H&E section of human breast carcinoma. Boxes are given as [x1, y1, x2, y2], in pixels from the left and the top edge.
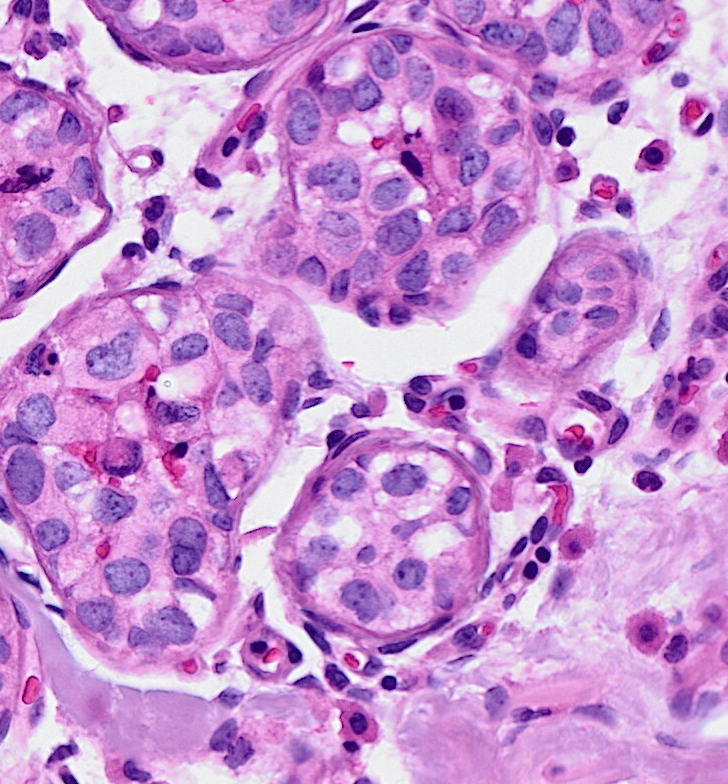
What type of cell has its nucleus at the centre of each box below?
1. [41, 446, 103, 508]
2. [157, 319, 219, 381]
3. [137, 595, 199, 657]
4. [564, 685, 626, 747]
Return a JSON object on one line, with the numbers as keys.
{"1": "carcinoma cell", "2": "carcinoma cell", "3": "carcinoma cell", "4": "fibroblast"}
